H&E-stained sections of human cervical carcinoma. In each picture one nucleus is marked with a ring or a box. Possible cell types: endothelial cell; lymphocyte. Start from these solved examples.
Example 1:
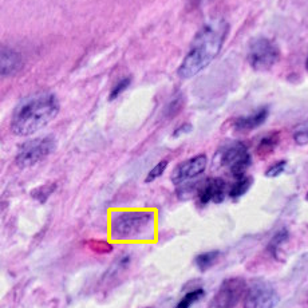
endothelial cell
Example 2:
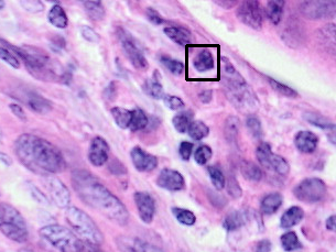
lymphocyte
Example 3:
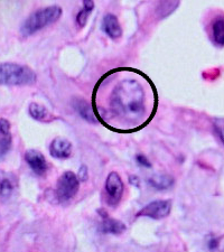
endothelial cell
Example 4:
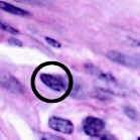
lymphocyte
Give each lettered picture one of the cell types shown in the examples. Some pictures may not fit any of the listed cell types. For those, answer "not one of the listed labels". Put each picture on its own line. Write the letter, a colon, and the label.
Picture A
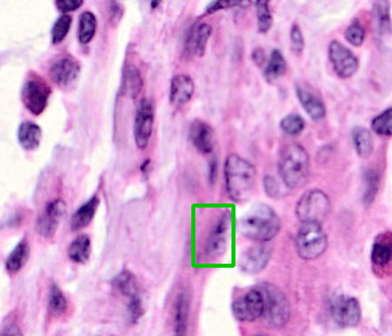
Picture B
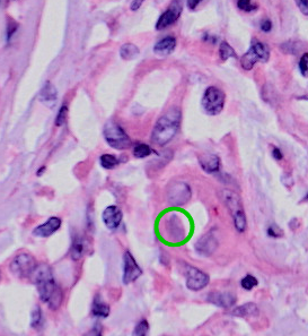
A: endothelial cell
B: endothelial cell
